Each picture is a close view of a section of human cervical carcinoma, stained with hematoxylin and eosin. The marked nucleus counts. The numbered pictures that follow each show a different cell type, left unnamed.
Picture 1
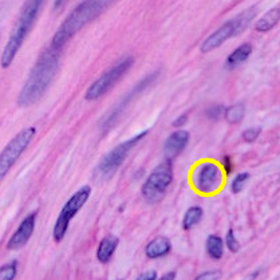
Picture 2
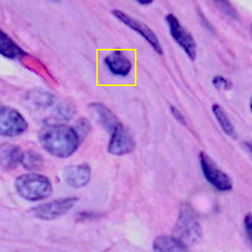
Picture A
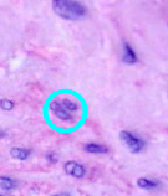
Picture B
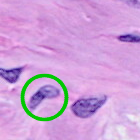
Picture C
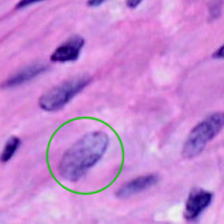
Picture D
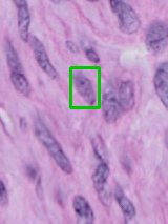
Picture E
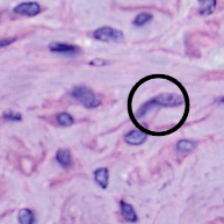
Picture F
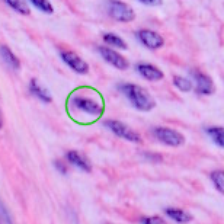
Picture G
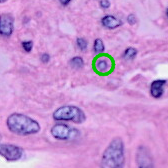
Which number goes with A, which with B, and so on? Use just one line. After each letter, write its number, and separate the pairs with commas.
A 1, B 2, C 2, D 1, E 1, F 1, G 1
